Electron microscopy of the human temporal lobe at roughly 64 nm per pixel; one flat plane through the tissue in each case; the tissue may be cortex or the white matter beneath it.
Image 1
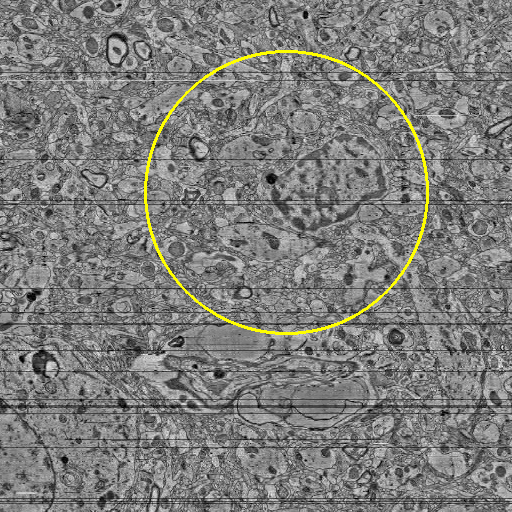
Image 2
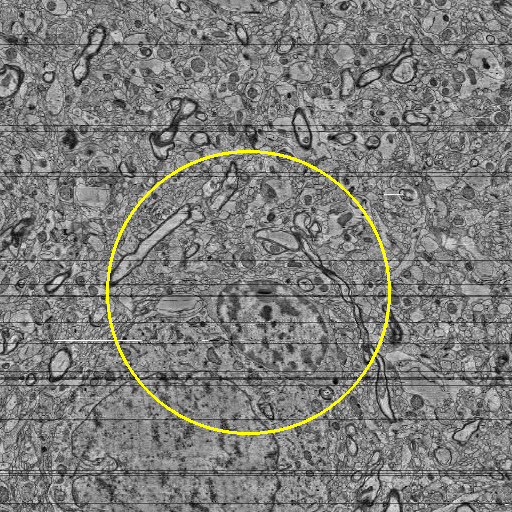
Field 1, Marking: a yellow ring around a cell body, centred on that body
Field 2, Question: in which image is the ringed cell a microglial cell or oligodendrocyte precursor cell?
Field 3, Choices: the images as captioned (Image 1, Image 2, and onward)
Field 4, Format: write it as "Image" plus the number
Image 1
